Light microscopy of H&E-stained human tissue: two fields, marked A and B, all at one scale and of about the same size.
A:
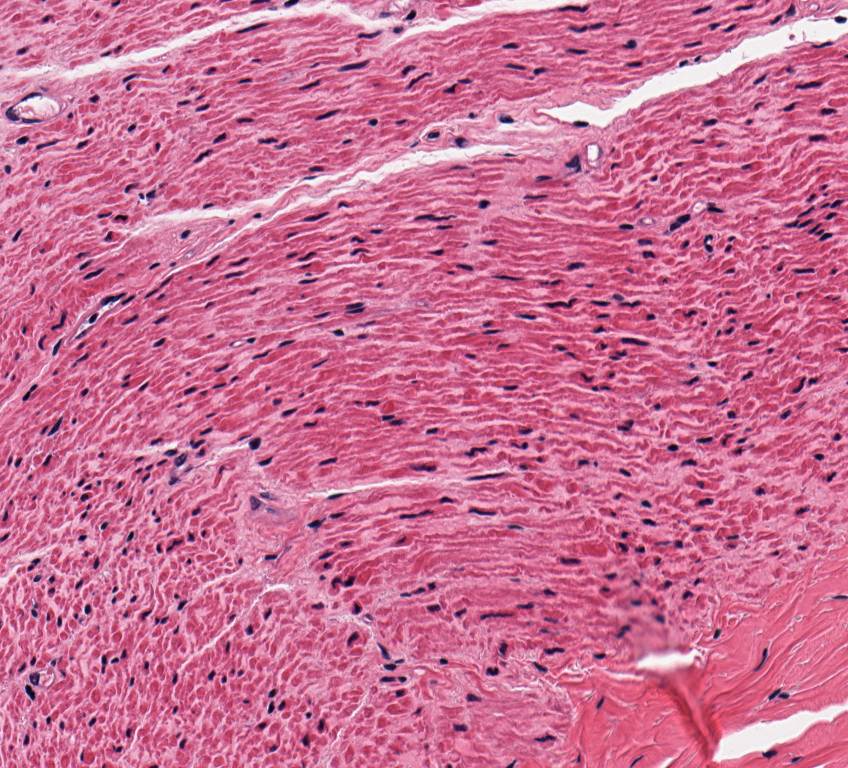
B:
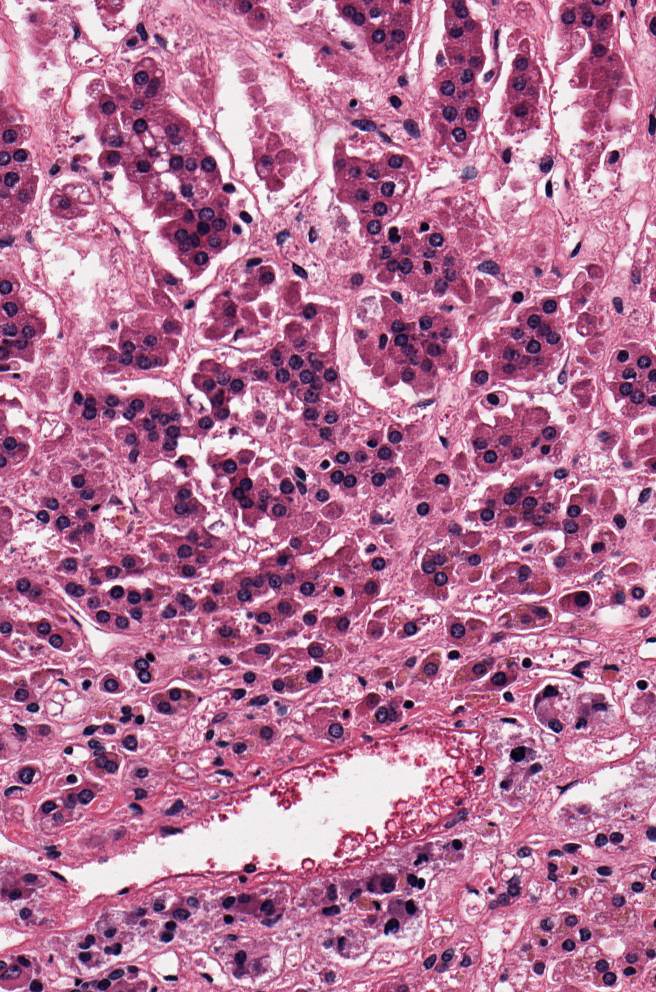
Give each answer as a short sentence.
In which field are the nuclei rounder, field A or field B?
The nuclei are rounder in field B.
